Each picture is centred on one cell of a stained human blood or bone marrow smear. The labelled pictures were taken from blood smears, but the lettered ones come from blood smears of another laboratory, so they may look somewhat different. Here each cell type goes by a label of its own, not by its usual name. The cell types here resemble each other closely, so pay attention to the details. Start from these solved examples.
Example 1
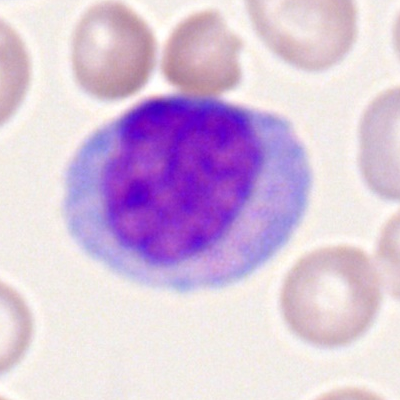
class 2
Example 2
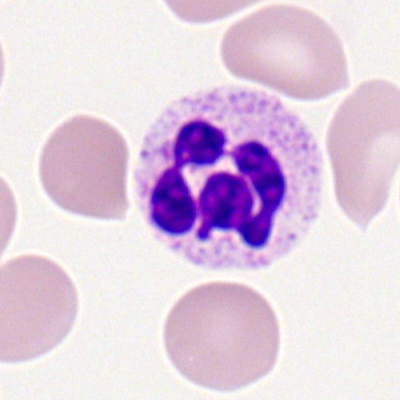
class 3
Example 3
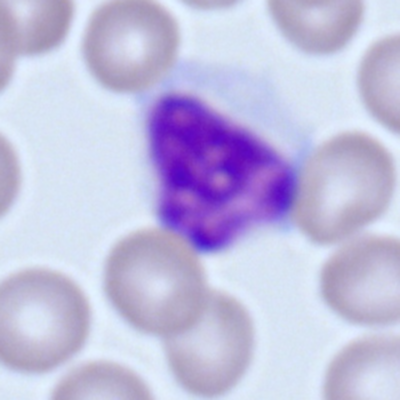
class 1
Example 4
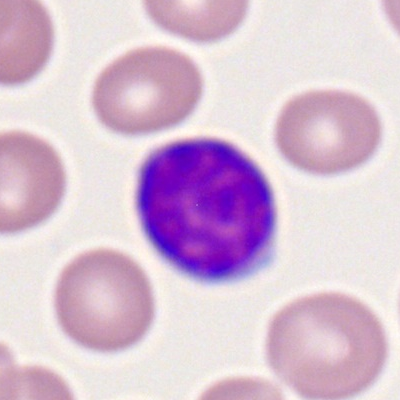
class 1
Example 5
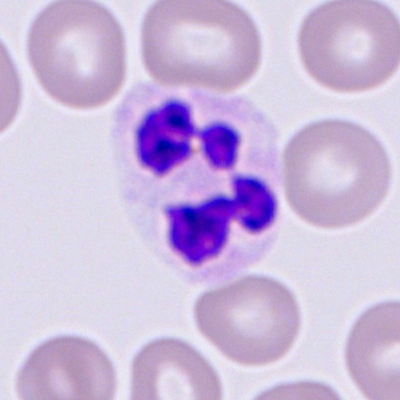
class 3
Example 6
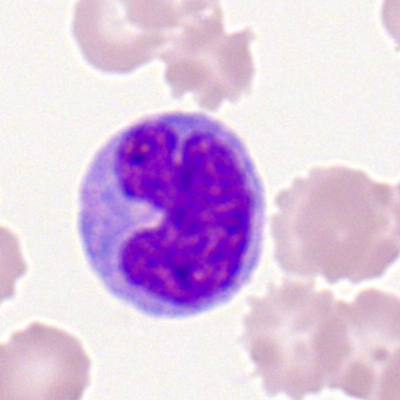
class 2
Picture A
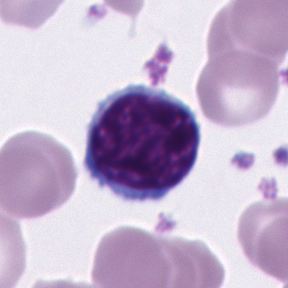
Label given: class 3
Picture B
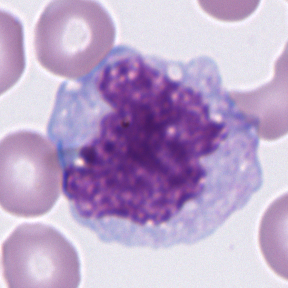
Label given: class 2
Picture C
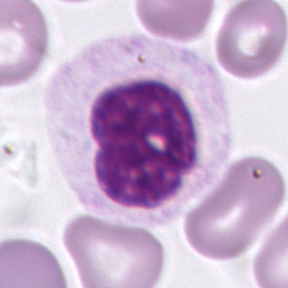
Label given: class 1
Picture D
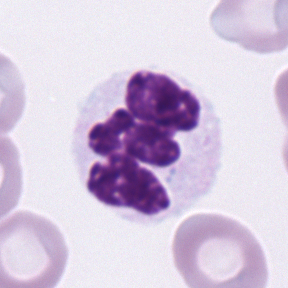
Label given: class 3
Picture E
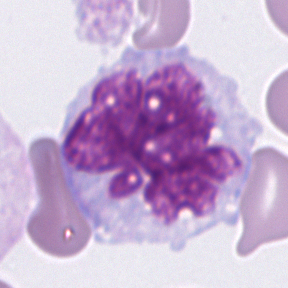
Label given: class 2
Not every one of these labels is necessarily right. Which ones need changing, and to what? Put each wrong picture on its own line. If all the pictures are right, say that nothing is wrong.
A is labelled class 3; correct label: class 1
C is labelled class 1; correct label: class 3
